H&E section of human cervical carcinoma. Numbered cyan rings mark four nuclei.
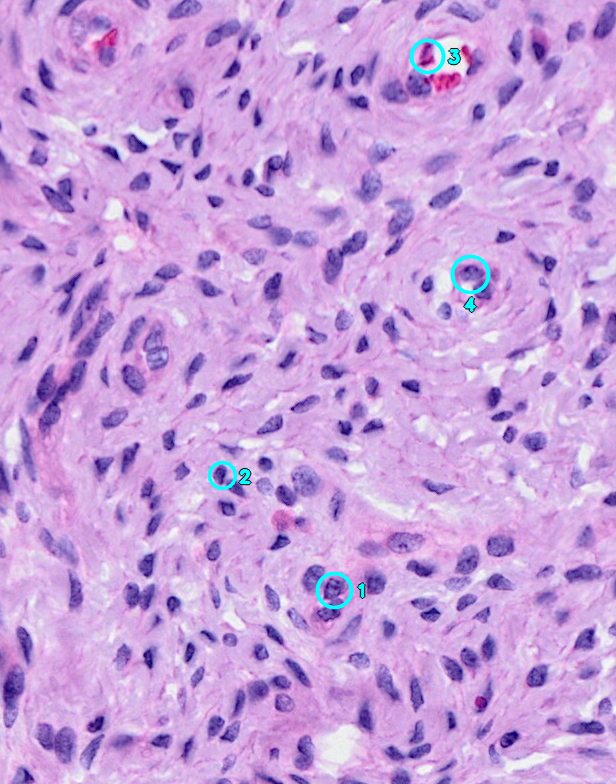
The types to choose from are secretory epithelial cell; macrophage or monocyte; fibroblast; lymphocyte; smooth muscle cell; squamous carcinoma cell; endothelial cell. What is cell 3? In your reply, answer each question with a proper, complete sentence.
The identity of cell 3 is that of an endothelial cell.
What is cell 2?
In the tissue shown, cell 2 is a fibroblast.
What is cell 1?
The cell tagged with 1 in this tissue section is an endothelial cell.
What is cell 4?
The one numbered 4 among the marked cells is an endothelial cell.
